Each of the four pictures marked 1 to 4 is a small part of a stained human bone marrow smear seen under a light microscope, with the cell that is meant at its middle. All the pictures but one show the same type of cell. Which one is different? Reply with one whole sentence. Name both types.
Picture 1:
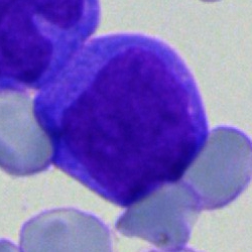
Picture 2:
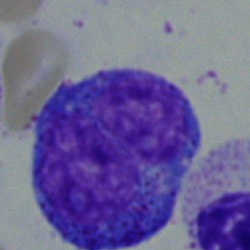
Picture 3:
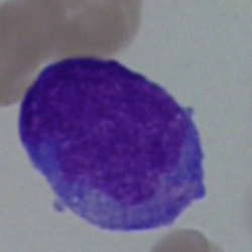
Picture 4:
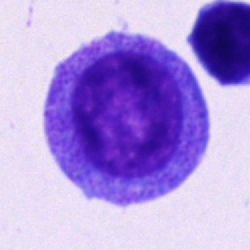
Unlike the rest, which show blasts, picture 4 shows a promyelocyte.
